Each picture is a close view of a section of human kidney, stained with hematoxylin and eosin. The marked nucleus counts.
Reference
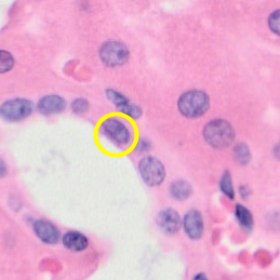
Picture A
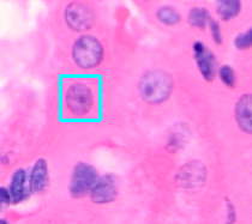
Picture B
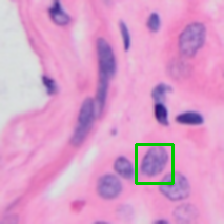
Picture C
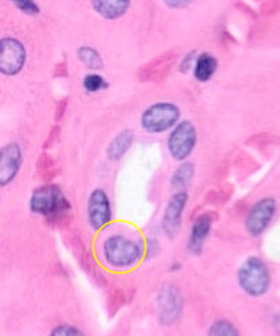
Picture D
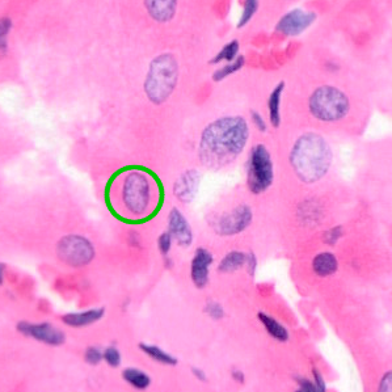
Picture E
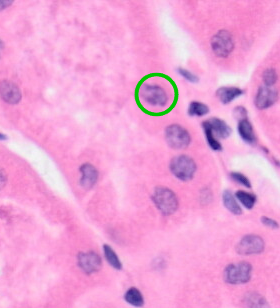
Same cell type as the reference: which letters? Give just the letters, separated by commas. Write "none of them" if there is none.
B, C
